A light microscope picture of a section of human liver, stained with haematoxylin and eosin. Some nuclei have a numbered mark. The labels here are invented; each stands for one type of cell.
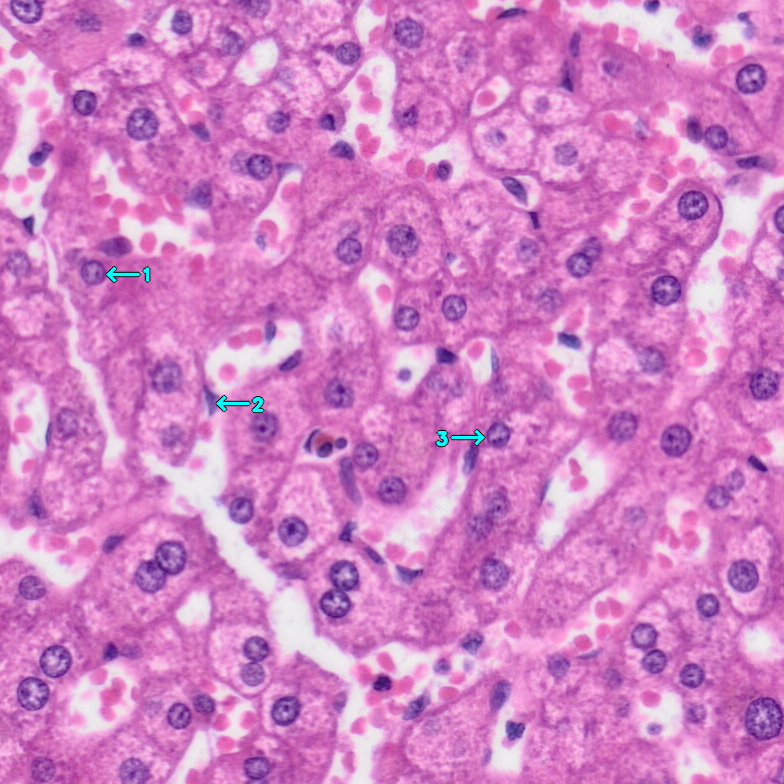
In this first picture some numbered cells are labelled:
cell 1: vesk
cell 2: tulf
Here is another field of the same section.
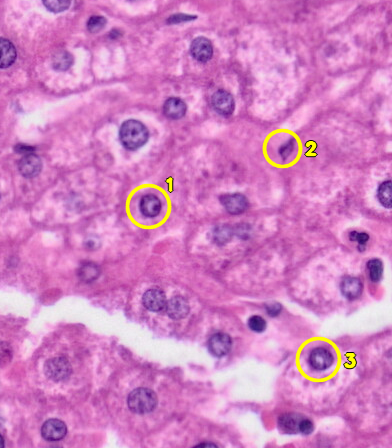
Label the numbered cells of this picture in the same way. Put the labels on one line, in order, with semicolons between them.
vesk; tulf; vesk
